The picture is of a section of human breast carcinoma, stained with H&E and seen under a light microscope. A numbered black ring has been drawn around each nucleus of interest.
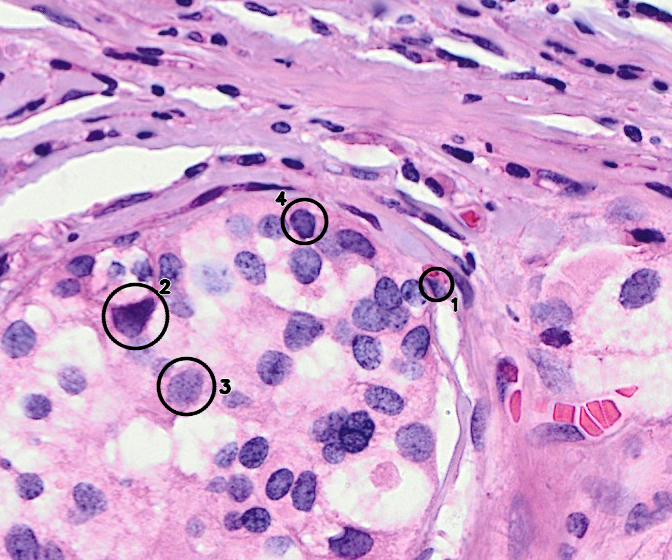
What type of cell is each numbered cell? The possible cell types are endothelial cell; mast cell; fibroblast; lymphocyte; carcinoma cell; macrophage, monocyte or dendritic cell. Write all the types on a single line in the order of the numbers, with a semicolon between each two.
endothelial cell; carcinoma cell; carcinoma cell; carcinoma cell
